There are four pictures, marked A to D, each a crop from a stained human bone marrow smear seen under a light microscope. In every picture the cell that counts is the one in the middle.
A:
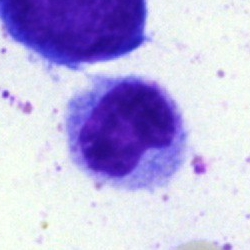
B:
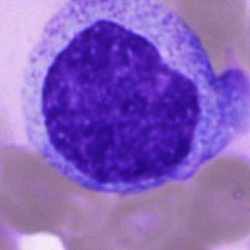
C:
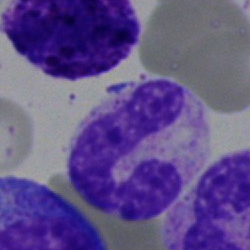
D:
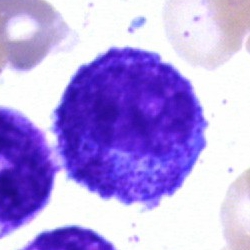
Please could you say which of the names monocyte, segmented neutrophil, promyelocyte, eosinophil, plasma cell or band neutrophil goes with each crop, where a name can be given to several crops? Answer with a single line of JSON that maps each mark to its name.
{"A": "monocyte", "B": "promyelocyte", "C": "segmented neutrophil", "D": "promyelocyte"}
